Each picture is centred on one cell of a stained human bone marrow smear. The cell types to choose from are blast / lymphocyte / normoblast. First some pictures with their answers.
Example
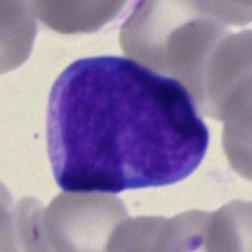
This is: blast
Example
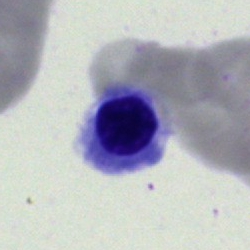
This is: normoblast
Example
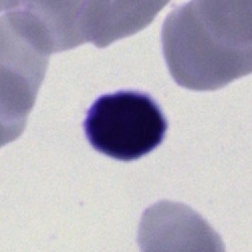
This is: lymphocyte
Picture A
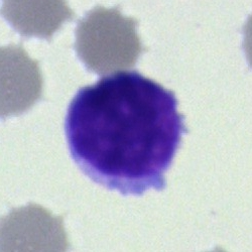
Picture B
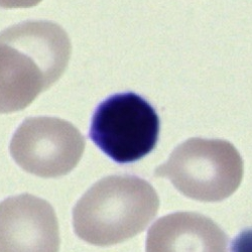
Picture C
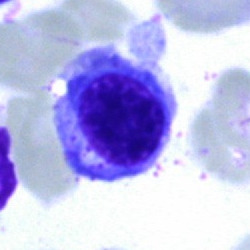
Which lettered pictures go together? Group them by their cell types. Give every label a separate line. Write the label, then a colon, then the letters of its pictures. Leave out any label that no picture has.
lymphocyte: A, B
normoblast: C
